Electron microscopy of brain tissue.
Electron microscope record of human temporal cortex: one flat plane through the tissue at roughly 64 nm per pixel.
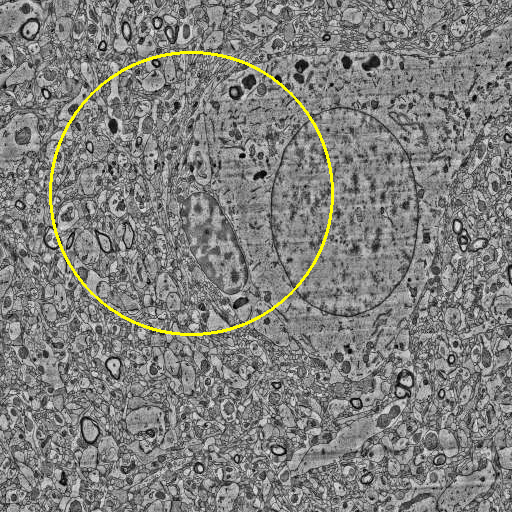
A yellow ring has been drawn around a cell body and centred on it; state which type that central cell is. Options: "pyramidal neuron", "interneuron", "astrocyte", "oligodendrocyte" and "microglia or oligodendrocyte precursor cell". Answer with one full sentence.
The cell at the middle of the yellow ring is a microglial cell or oligodendrocyte precursor cell in this picture.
